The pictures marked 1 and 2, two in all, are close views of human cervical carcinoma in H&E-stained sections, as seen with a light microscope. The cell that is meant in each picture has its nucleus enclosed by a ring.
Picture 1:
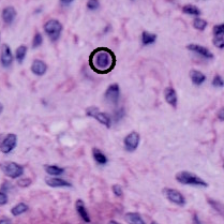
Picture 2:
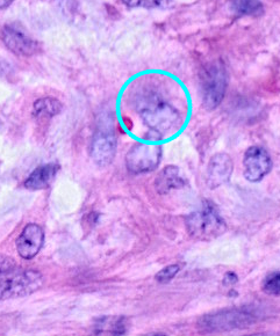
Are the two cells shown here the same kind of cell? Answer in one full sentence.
No; the cell in picture 1 is a smooth muscle cell, while the one in picture 2 is an endothelial cell.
